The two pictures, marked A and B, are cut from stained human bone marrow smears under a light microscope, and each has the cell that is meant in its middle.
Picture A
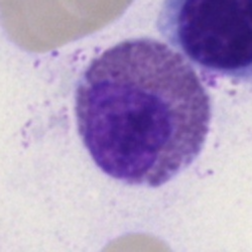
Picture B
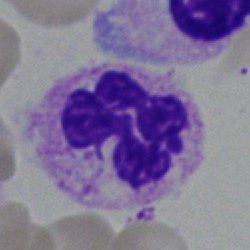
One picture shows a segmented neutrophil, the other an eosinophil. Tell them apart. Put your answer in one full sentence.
Picture A is of an eosinophil, and picture B is of a segmented neutrophil.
